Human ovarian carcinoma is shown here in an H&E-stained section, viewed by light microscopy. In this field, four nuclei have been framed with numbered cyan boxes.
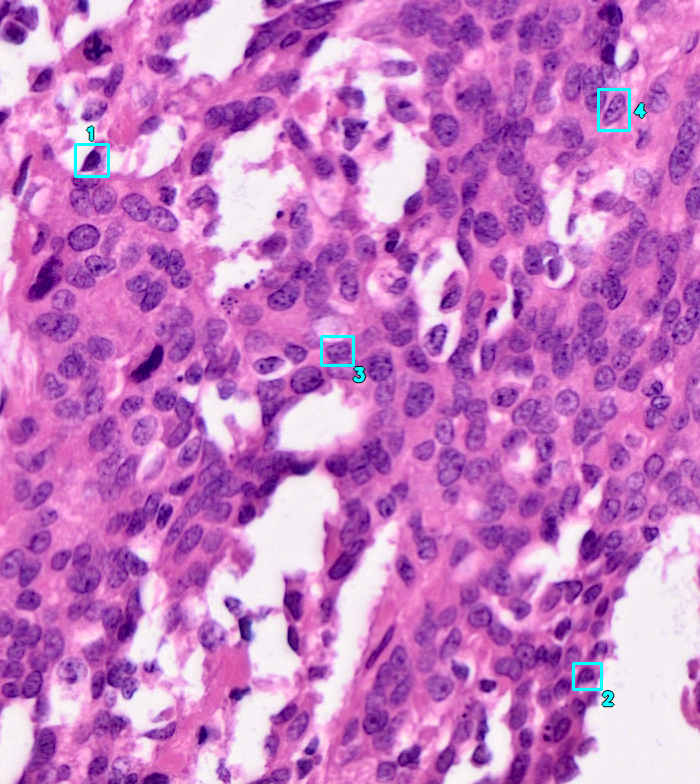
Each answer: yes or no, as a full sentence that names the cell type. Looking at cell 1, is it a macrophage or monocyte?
No, cell 1 is not a macrophage or monocyte. It is a carcinoma cell.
